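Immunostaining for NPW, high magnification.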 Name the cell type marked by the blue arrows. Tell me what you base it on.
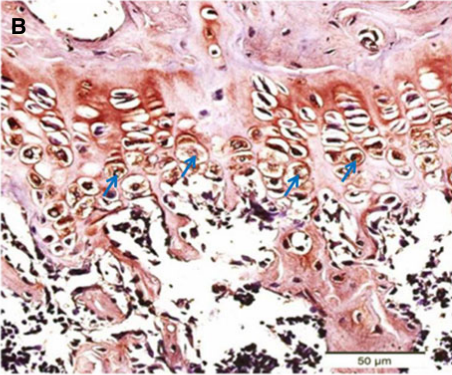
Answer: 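The arrows point to rounded cells sitting in clear lacunae within pink-red matrix. The cells are stacked in longitudinal columns. So: chondrocytes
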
